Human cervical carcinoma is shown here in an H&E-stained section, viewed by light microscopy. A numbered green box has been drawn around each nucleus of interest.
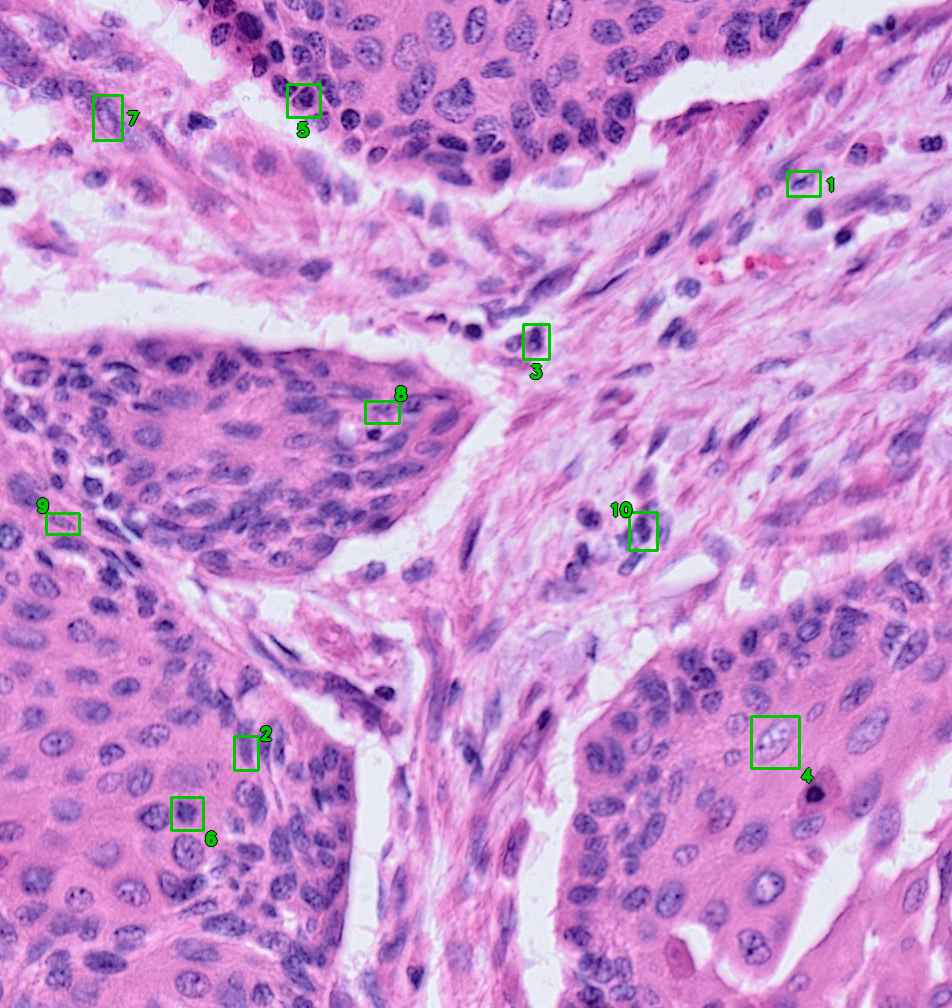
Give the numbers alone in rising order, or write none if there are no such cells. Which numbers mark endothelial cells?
7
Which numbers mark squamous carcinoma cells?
2, 4, 5, 6, 8, 9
